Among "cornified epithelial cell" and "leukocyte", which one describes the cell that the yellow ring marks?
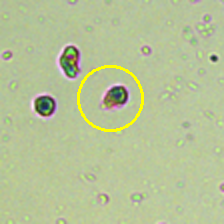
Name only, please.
leukocyte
